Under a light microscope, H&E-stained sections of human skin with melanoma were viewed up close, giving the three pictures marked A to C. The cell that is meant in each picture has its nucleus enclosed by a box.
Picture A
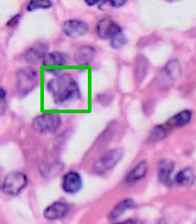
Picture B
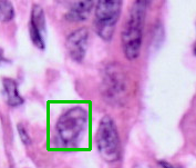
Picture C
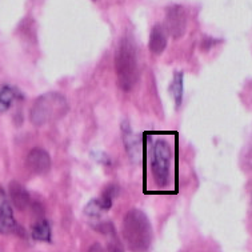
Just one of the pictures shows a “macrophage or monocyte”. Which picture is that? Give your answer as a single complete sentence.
Picture C shows the “macrophage or monocyte”.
